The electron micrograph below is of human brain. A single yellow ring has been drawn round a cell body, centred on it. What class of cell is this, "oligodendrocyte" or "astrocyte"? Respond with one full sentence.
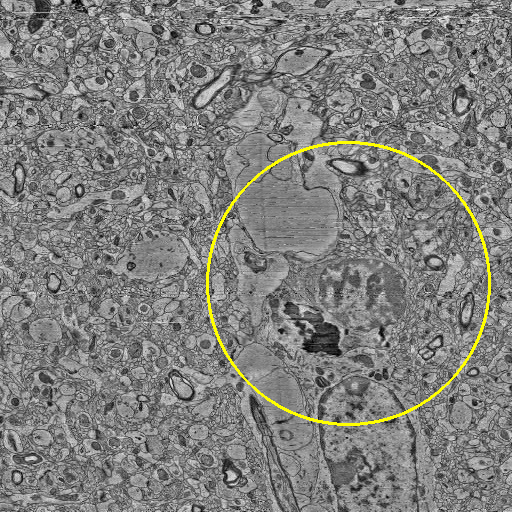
In the micrograph, the cell centred inside the yellow ring is an oligodendrocyte.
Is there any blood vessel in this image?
Yes, a blood vessel can be seen.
